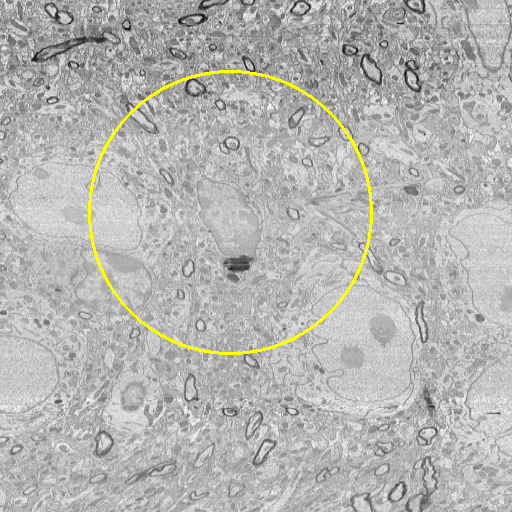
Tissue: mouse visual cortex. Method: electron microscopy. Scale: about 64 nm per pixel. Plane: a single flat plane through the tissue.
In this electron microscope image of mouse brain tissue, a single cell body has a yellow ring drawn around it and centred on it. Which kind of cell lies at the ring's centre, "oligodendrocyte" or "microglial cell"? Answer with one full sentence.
It is a microglial cell whose cell body lies at the centre of the yellow ring here.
